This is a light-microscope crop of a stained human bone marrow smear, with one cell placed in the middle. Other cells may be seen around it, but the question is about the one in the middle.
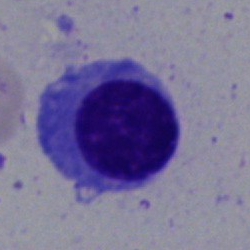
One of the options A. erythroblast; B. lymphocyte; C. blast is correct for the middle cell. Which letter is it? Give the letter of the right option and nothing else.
A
